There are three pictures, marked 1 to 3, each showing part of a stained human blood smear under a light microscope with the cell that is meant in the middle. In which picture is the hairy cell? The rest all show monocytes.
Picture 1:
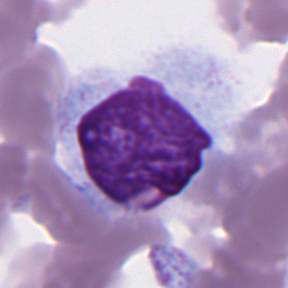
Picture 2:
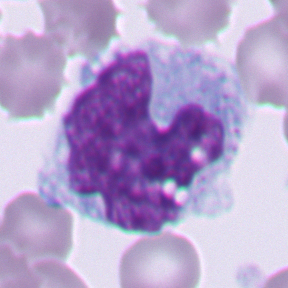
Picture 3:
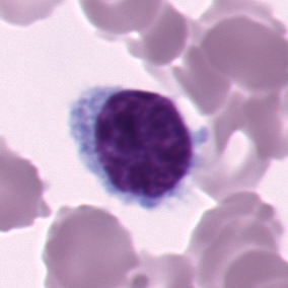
3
